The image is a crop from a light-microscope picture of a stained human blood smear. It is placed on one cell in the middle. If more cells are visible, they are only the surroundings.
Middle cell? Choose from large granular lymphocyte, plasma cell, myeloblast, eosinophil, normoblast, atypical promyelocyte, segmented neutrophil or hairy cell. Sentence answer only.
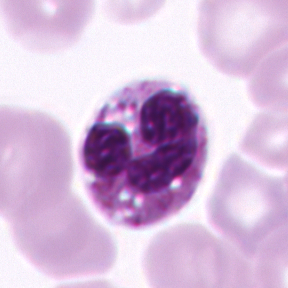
Standing at the centre of this crop is an eosinophil.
